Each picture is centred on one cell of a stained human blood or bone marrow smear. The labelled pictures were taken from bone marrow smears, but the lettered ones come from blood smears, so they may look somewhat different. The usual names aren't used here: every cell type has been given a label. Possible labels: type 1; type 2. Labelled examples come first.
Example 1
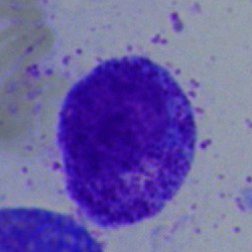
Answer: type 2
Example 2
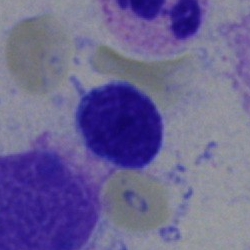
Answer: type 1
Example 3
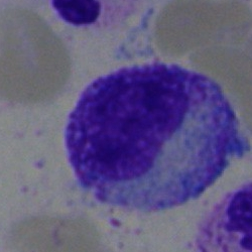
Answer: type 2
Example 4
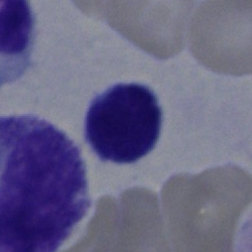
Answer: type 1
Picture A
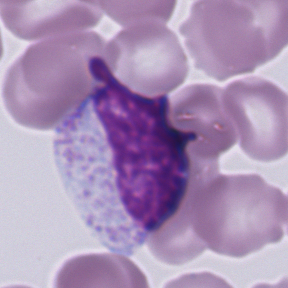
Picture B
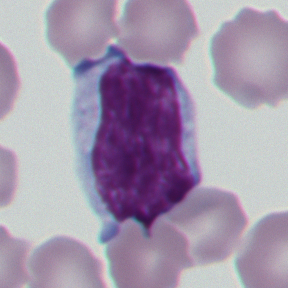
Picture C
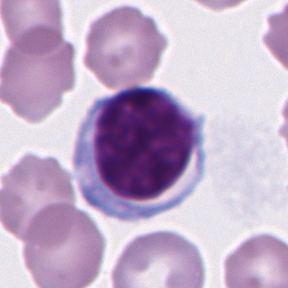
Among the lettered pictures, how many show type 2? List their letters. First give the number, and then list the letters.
1, namely A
